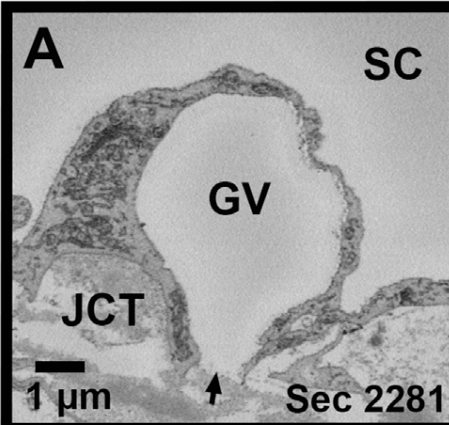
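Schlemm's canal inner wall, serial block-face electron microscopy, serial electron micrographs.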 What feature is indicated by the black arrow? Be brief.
Basal opening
